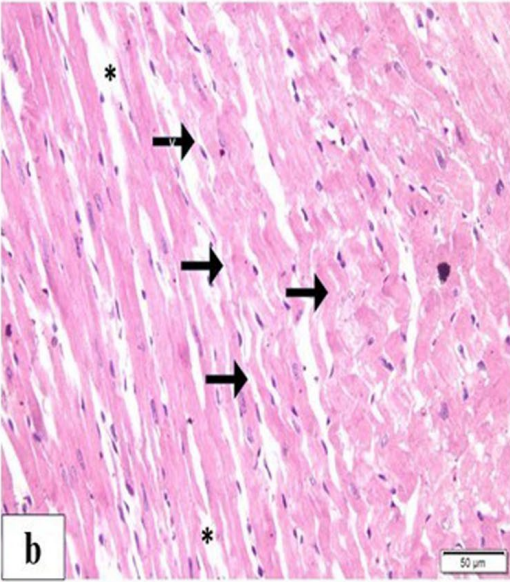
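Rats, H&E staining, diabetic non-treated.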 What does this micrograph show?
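Cardiac muscle in longitudinal section showing disturbed fibers. In places fibers appear interrupted, with loss of their continuity. Toward the right the tissue looks paler and disorganised, with fibers that are fragmented and irregular rather than in parallel rows. Oval purple nuclei are scattered within and between the fibers, and a single dark purple clump is seen on the right.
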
